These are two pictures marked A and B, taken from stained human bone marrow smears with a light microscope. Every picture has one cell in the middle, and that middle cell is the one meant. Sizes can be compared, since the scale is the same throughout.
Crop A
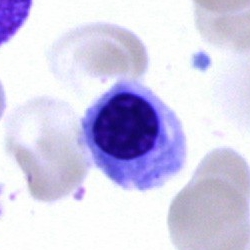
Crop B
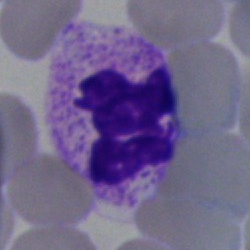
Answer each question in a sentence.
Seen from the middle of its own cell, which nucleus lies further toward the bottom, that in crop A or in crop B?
The nucleus in crop B lies further toward the bottom of its cell.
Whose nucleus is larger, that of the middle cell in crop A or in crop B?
The nucleus in crop B is larger, with about 2.5 times the area of the one in crop A.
